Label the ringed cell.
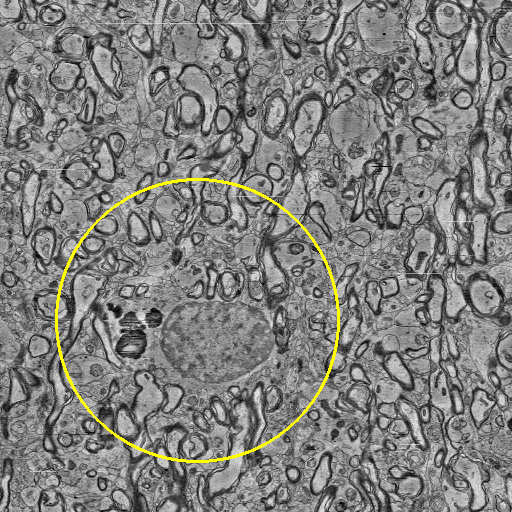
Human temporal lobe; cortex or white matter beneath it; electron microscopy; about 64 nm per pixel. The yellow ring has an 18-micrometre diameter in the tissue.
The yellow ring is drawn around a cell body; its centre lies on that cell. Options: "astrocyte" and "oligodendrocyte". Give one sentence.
The ringed cell is an oligodendrocyte.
